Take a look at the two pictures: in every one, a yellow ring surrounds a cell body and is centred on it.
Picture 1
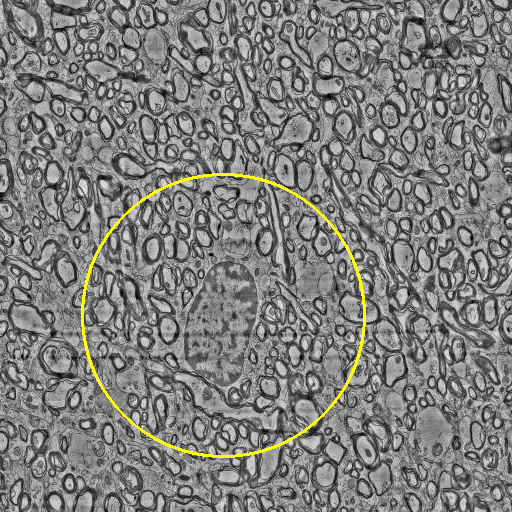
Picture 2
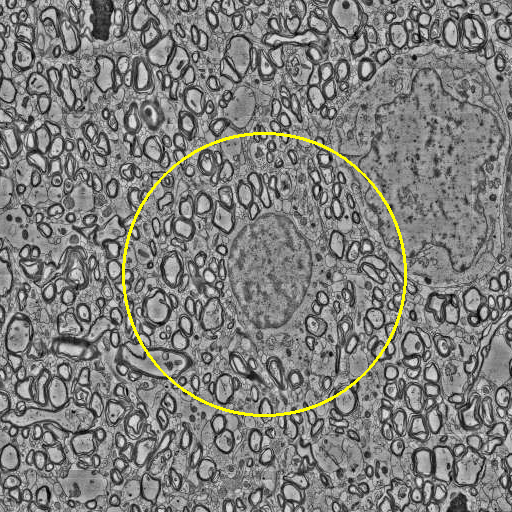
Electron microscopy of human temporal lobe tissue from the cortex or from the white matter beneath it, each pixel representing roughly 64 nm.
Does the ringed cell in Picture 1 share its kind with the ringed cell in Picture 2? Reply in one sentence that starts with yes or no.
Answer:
No, the two centred cells, one per picture, are of two kinds.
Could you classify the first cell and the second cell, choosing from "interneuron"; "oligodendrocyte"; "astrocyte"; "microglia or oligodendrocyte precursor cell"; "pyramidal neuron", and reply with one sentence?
The second cell is an oligodendrocyte, while the first is a microglial cell or oligodendrocyte precursor cell.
